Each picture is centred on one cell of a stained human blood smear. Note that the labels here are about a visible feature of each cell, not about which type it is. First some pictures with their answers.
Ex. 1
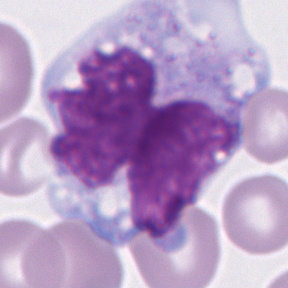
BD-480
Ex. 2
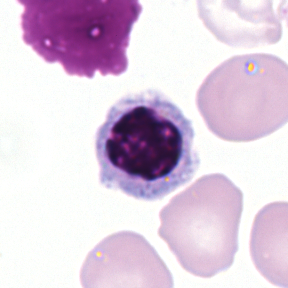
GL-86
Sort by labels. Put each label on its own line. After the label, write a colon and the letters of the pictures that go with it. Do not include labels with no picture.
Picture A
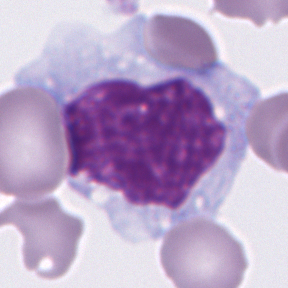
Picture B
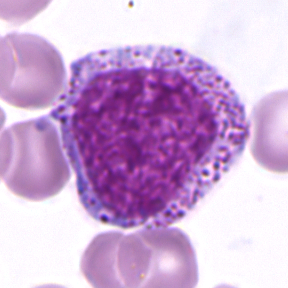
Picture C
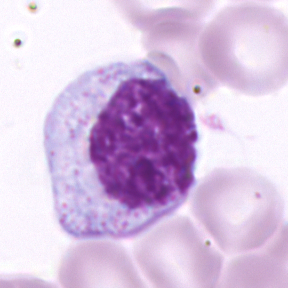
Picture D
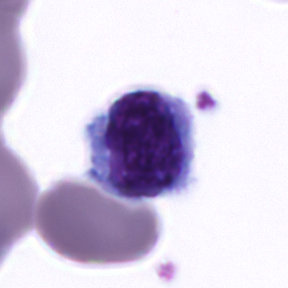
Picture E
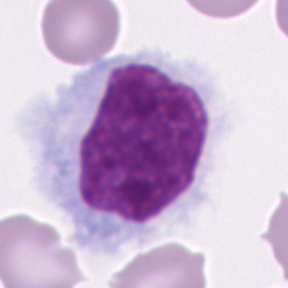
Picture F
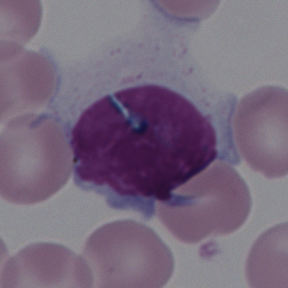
BD-480: A, C, E, F
GL-86: B, D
